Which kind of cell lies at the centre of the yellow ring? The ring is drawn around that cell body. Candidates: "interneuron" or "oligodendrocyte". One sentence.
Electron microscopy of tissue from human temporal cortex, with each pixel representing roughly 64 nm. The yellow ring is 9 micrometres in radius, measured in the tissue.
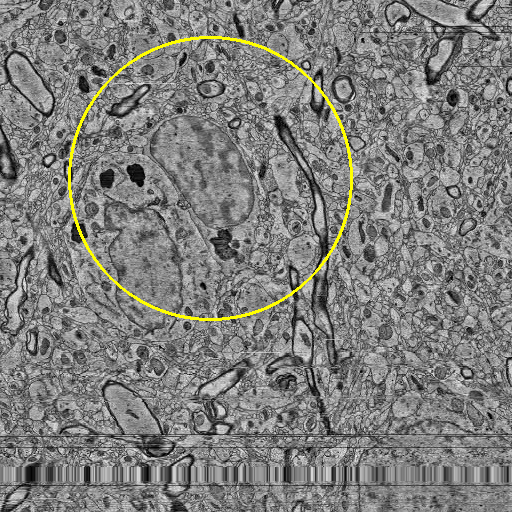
Lying at the centre of the ring is an oligodendrocyte.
